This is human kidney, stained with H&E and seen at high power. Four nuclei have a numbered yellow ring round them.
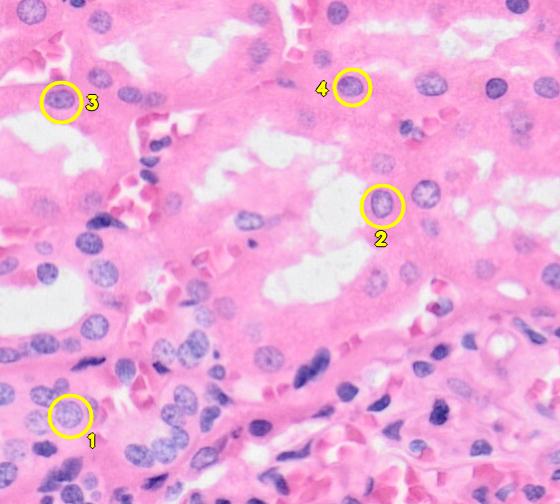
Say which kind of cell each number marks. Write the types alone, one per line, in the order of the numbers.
collecting duct cell
proximal tubule cell
proximal tubule cell
proximal tubule cell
